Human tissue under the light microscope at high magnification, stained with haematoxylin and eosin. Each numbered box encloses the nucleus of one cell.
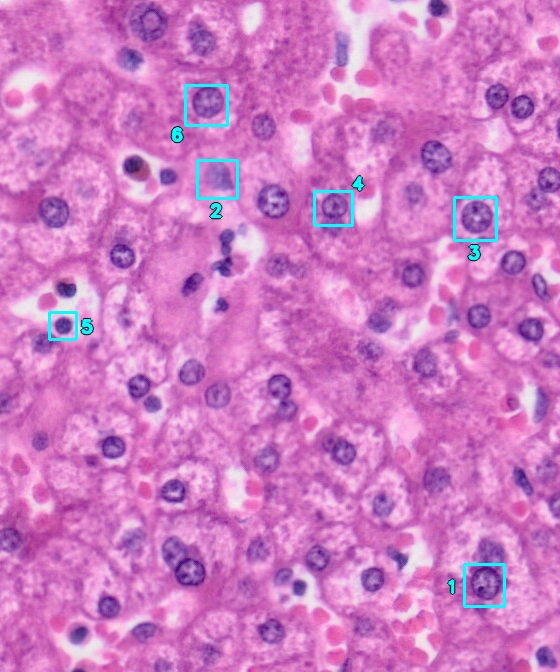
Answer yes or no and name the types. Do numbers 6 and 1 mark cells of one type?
Yes, note that cells 6 and 1 are both hepatocytes.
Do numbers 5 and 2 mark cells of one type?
No, cell 5 counts as a lymphocyte, and cell 2 counts as an endothelial cell.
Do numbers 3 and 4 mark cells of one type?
Yes, both of cells 3 and 4 are hepatocytes.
